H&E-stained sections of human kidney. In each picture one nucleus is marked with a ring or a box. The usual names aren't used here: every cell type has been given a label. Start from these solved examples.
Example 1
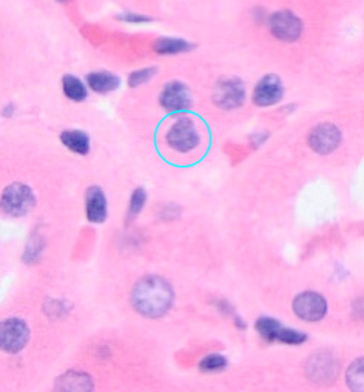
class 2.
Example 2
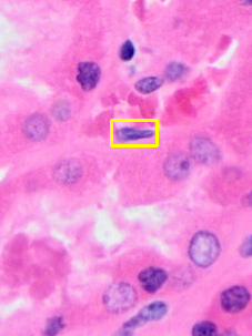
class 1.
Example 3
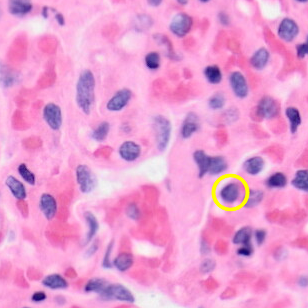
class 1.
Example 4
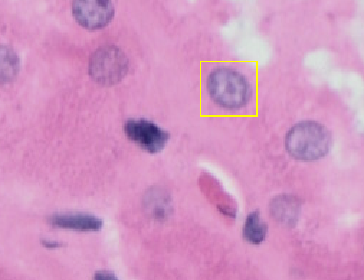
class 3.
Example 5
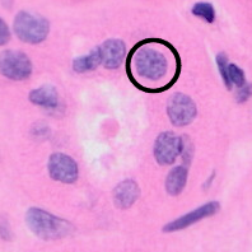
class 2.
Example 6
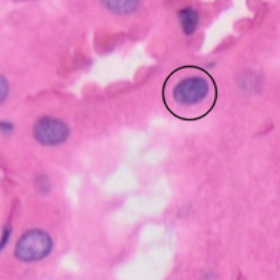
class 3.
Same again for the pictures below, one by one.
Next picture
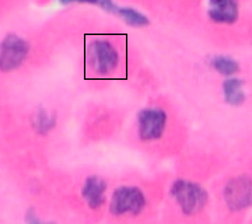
class 3.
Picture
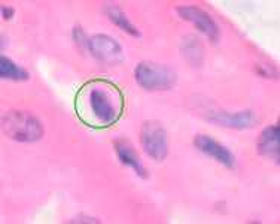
class 1.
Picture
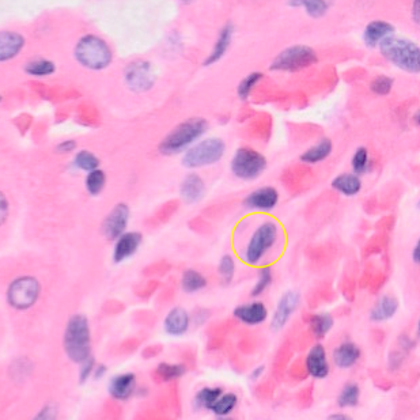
class 1.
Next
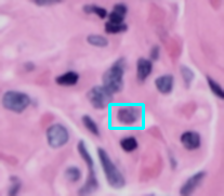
class 1.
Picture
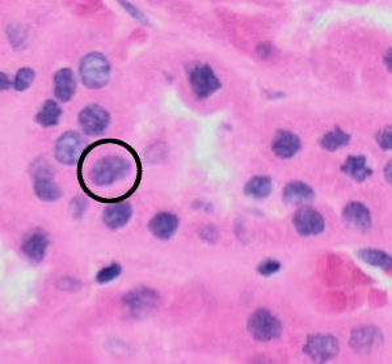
class 2.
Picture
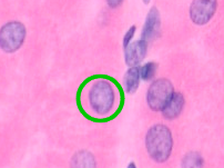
class 3.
